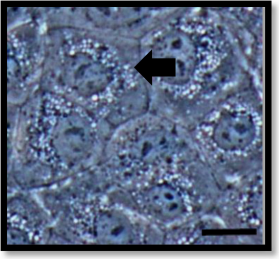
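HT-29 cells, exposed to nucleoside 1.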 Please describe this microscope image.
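Here we look at a sheet of closely packed, flat cultured cells, each polygonal and bordered by a thin bright rim where it meets its neighbours. In the middle of each cell lies a large, roundish, greyer nucleus. Around many of these nuclei the cytoplasm is crowded with small, bright, round bodies, like a ring of tiny bubbles hugging the nucleus; these are perinuclear vacuoles. Some cells carry many of them, others only a few, and they thin out toward the cell edges. The cells still lie flat and side by side, with no rounding or gaps between them.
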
